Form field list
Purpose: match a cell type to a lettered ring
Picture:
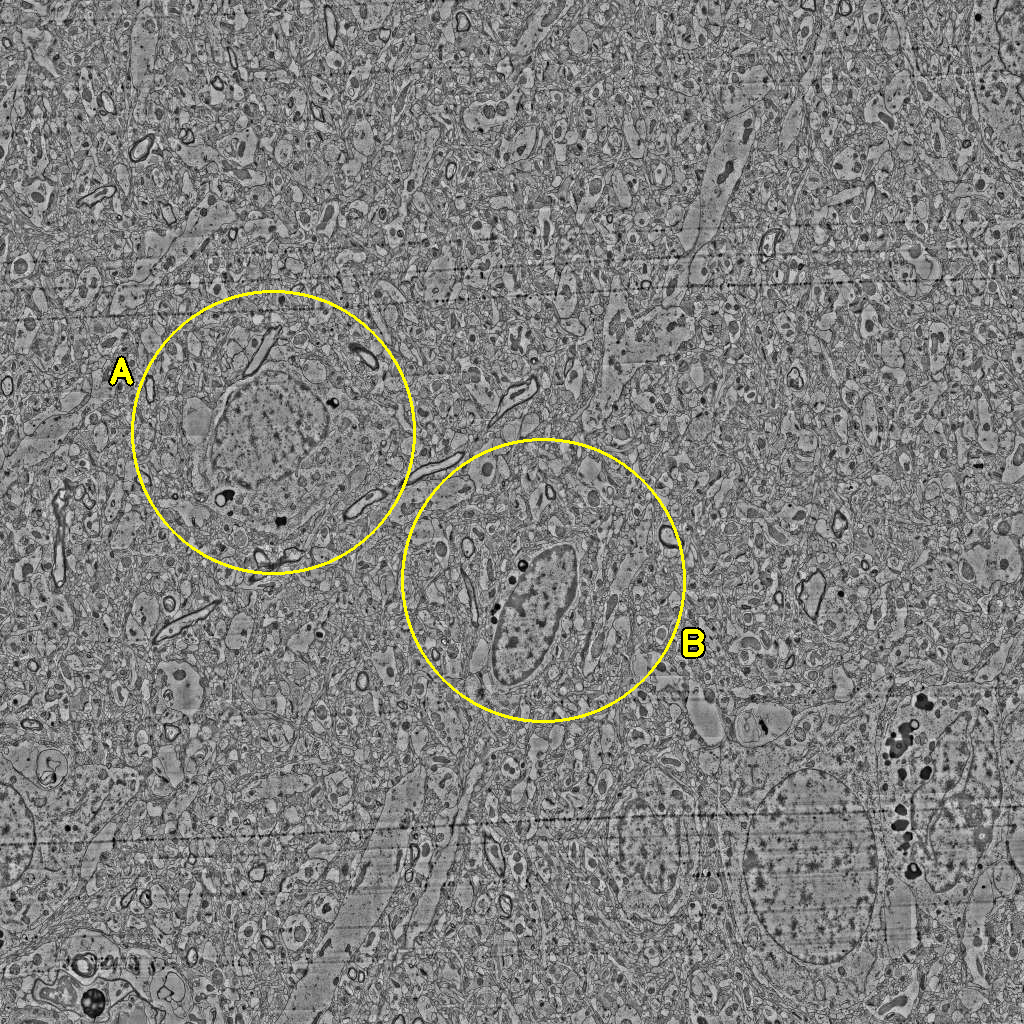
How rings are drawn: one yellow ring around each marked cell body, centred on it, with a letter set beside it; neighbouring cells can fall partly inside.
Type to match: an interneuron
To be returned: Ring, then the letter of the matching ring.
Ring A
